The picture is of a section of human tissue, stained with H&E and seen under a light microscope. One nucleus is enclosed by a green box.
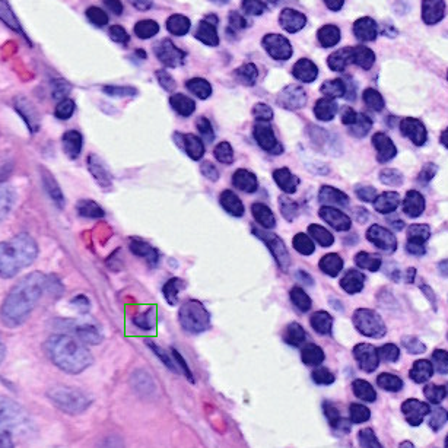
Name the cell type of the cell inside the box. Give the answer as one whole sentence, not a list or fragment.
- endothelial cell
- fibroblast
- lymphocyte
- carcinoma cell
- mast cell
What the cell inside the box represents is an endothelial cell.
